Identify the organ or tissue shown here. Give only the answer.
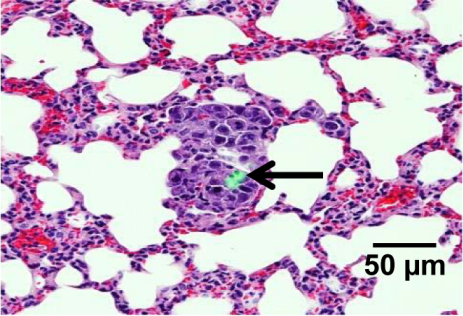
Lung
